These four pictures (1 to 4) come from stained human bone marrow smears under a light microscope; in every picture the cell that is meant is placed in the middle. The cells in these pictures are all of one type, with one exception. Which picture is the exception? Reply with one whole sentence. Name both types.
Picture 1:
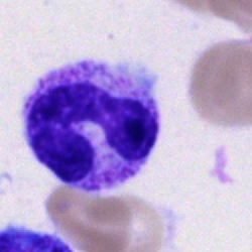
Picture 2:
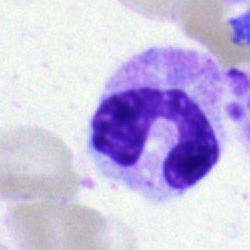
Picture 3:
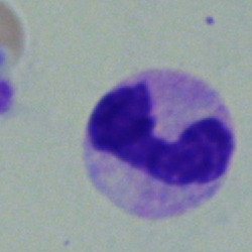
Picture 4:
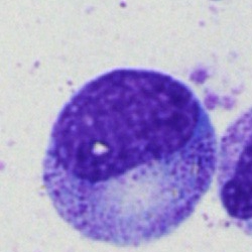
The different one is picture 4; it shows a metamyelocyte, whereas all the others show band neutrophils.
